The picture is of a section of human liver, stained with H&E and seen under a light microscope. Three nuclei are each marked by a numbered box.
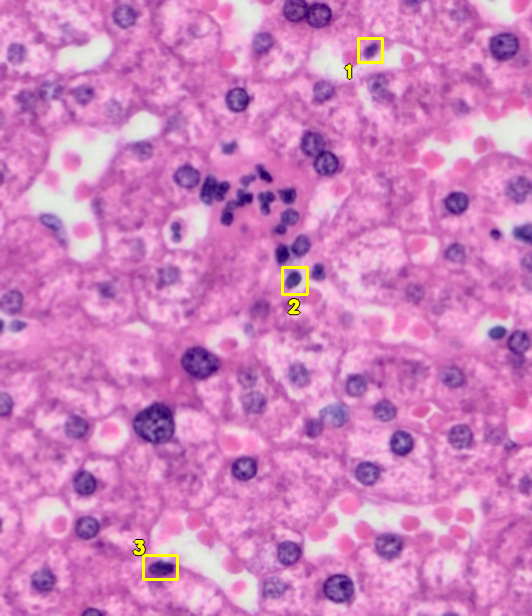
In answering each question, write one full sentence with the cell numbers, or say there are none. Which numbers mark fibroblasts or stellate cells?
In contrast to the remaining marked cells, cell 3 is a fibroblast or stellate cell.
